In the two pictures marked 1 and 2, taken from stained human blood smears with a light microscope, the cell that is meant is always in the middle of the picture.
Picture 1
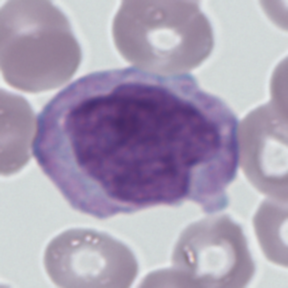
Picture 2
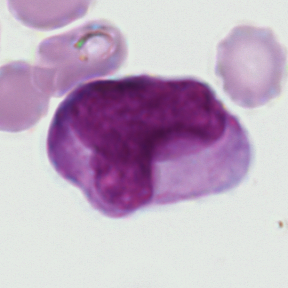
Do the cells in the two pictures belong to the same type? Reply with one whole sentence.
Yes, both cells are atypical promyelocytes.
